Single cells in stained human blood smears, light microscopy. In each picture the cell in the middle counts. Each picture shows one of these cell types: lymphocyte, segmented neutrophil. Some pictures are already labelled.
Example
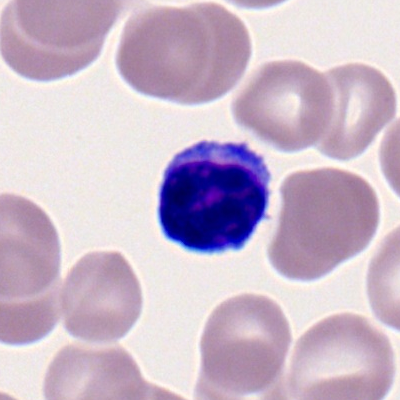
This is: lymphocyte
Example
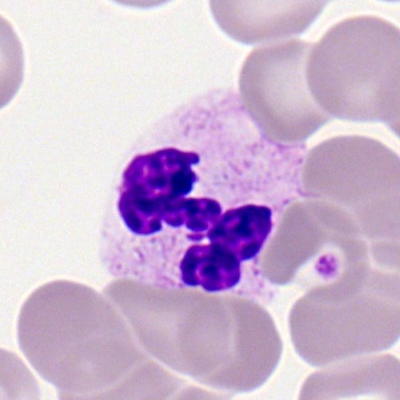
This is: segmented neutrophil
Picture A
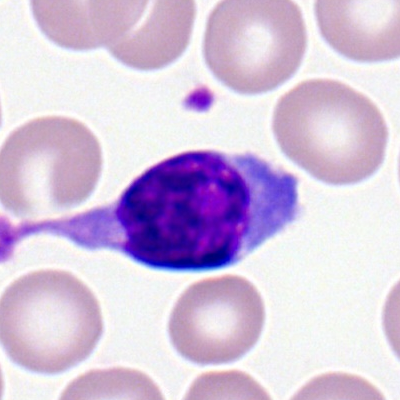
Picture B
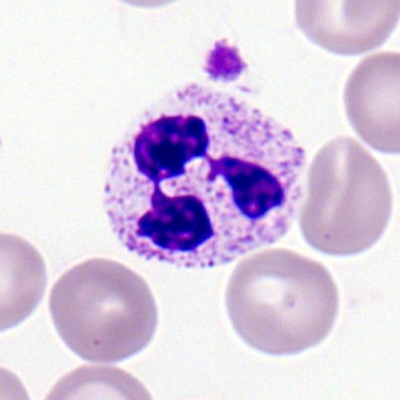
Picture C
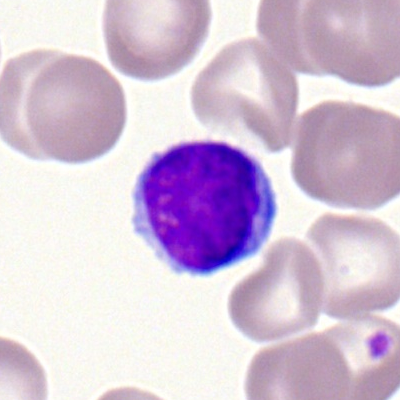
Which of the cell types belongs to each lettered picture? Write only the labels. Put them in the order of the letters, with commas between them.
lymphocyte, segmented neutrophil, lymphocyte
